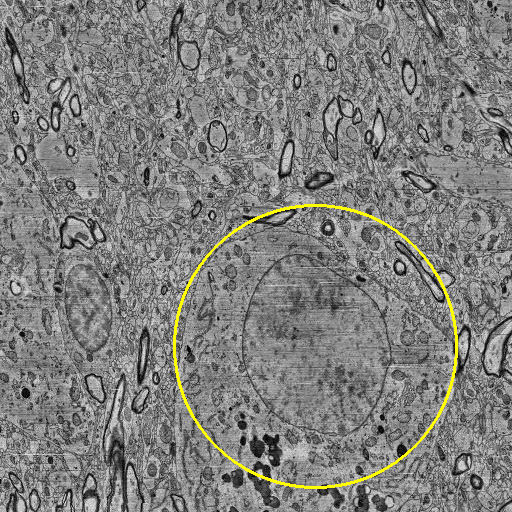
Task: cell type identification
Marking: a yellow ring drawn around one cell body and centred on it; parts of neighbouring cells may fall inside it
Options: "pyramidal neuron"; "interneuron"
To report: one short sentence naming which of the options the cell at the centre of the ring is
The cell at the centre of the ring is a pyramidal neuron.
